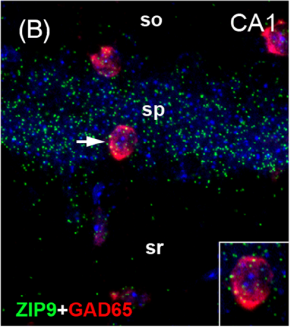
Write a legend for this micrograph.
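The layer shows as a broad band crowded with blue nuclei and studded with fine green dots. Most cells in the band carry no red, so the red-filled rounded cell body stands out sharply, with its nucleus visible inside. A few other red profiles lie scattered above and below the band in the fiber layers, which themselves contain far fewer nuclei. The inset enlarges the marked cell, showing a round soma with green dots over it.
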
